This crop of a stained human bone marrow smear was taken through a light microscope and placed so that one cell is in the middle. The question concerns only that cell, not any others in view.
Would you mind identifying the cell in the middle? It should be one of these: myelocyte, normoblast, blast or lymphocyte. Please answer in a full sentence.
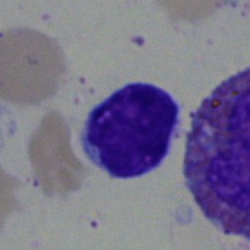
The cell under consideration, at the middle of the crop, is a lymphocyte.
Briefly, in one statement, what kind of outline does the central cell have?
The cell shows a smooth outline that lacks any surface projections.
